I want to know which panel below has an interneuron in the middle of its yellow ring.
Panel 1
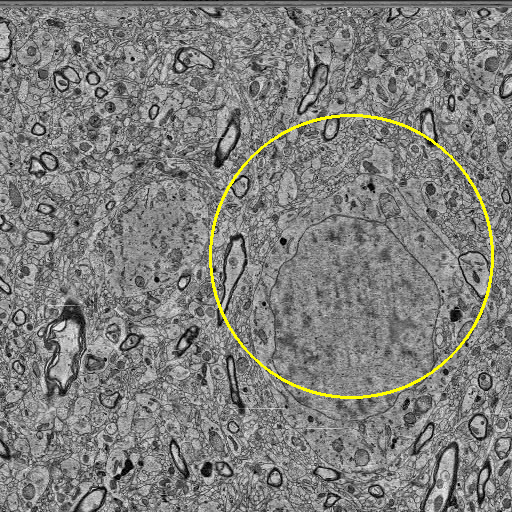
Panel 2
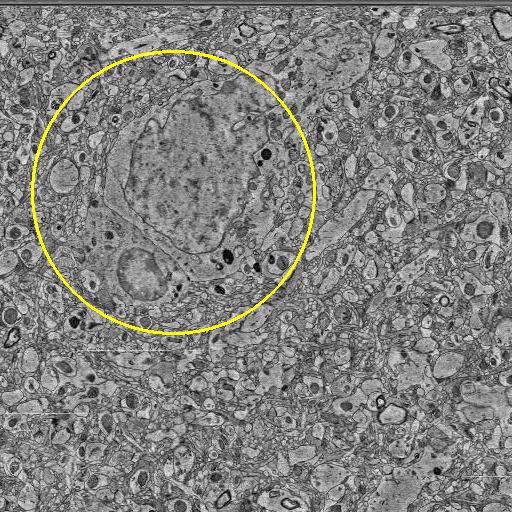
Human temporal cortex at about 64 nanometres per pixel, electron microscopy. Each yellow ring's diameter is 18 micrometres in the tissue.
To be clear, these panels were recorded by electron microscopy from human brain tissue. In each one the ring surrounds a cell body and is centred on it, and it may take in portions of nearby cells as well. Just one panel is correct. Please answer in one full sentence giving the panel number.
Panel 2 has the requested cell sitting at the centre of its ring.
